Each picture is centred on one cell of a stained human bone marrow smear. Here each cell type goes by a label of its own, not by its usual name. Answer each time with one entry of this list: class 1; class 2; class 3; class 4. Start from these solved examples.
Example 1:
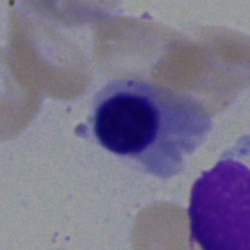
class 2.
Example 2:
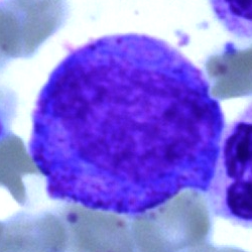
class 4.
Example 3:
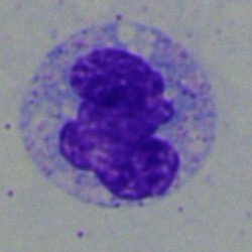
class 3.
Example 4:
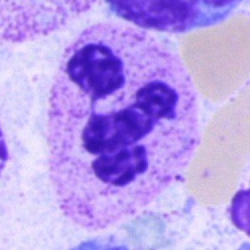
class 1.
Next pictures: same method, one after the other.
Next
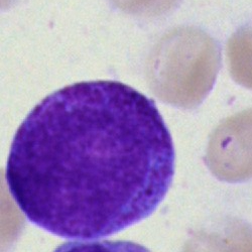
class 4.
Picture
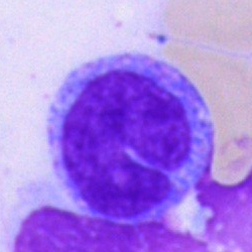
class 3.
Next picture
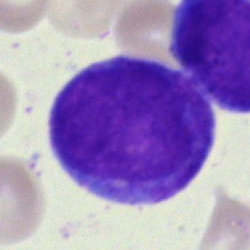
class 4.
